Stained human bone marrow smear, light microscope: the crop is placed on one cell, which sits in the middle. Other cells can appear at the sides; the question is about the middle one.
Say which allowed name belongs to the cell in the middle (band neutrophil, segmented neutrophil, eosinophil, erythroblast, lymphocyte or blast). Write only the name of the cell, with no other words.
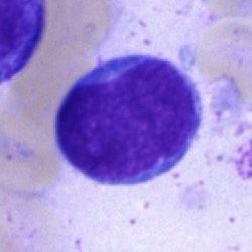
blast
